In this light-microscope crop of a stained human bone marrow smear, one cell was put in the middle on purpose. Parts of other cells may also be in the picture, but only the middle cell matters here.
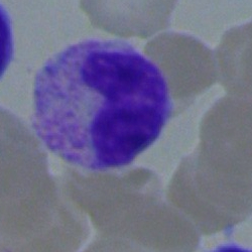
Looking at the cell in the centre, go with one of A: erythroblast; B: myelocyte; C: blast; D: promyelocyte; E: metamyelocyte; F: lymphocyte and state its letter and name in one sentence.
The middle of the crop holds a metamyelocyte, which points to option E.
